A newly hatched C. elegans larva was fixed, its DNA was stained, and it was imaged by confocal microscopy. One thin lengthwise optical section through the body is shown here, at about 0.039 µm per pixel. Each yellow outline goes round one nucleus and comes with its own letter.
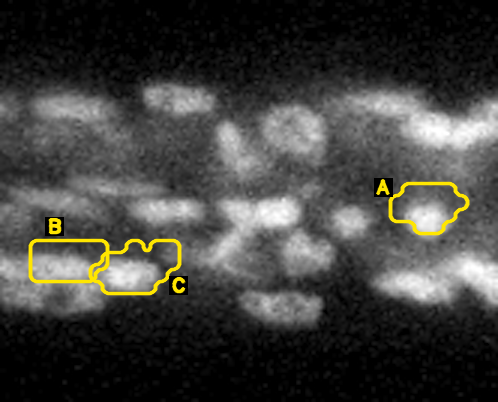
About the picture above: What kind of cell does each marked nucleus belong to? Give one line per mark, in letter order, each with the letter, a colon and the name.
A: neuron
B: glial cell (sheath or socket)
C: glial cell (sheath or socket)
